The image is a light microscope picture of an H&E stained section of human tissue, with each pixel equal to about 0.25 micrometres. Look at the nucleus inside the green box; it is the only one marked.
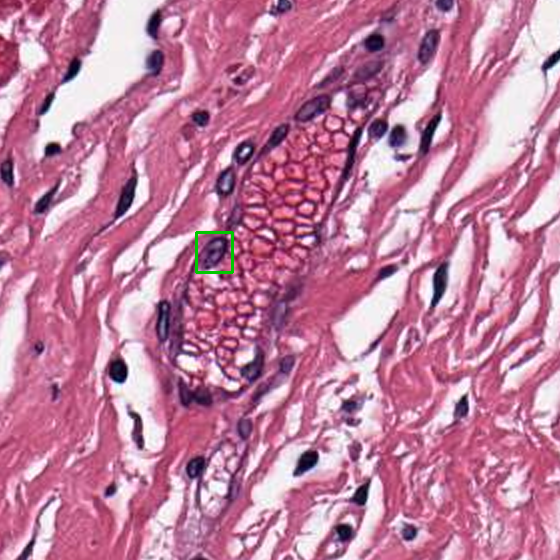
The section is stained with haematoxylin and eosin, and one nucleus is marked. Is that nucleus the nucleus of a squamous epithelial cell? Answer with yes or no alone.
no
